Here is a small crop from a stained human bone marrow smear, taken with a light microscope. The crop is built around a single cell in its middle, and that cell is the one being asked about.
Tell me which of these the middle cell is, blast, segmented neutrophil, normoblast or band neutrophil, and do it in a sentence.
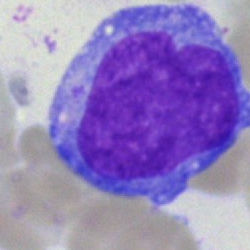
In the middle of this smear crop is a blast.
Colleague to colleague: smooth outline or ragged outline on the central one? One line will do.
Rather than running smoothly, the cell border is ragged or carries projections.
